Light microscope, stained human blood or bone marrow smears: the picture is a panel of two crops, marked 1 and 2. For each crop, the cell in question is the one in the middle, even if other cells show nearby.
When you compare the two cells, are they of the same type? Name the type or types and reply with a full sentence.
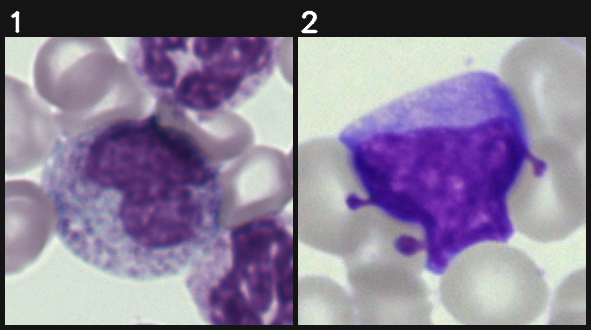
No, shown in crop 1 is a myelocyte, and shown in crop 2 is a blast.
